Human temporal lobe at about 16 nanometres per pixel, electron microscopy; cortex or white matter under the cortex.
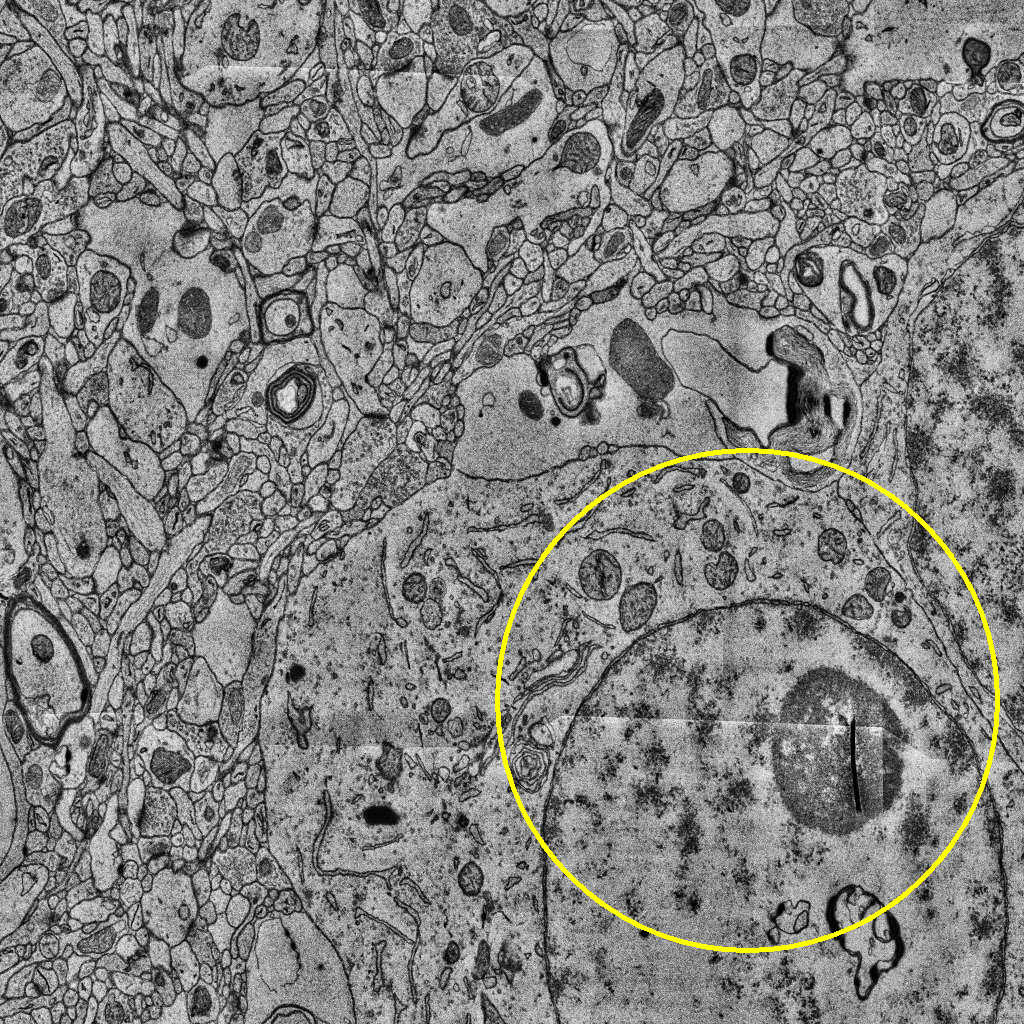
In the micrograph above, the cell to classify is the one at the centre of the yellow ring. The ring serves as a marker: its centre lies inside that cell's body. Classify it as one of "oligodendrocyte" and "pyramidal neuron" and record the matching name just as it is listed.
pyramidal neuron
